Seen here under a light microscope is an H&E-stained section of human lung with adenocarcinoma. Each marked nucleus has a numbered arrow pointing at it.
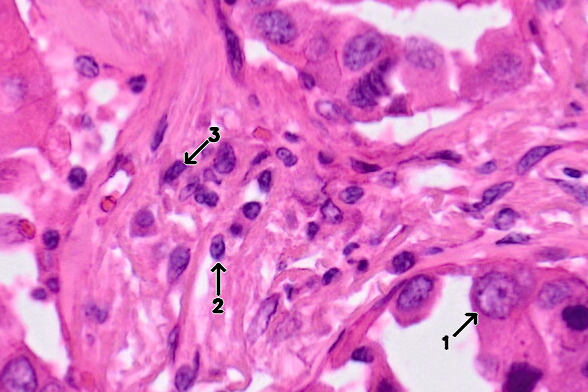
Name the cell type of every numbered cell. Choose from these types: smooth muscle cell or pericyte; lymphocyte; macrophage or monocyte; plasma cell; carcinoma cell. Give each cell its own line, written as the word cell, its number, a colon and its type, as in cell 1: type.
cell 1: carcinoma cell
cell 2: lymphocyte
cell 3: plasma cell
